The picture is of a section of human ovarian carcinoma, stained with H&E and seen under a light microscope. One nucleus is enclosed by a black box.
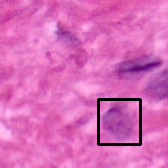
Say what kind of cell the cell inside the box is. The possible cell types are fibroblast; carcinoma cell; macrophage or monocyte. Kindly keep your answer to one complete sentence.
In terms of identity, the cell inside the box is a fibroblast.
